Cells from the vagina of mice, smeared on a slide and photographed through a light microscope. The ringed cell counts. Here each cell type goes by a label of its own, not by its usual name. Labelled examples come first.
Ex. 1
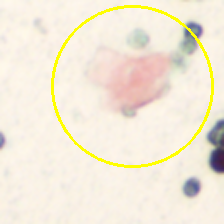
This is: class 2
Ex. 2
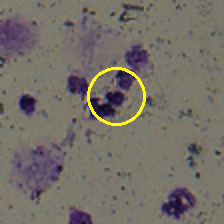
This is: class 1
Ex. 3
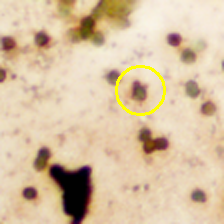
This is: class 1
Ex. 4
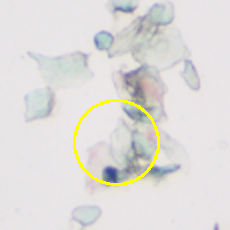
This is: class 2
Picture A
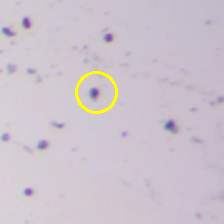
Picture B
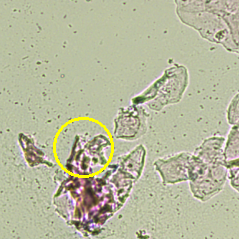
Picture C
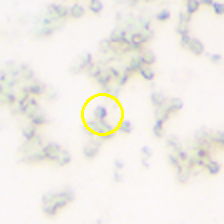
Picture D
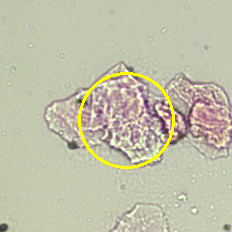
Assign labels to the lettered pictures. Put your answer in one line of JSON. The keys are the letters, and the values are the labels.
{"A": "class 1", "B": "class 2", "C": "class 1", "D": "class 2"}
